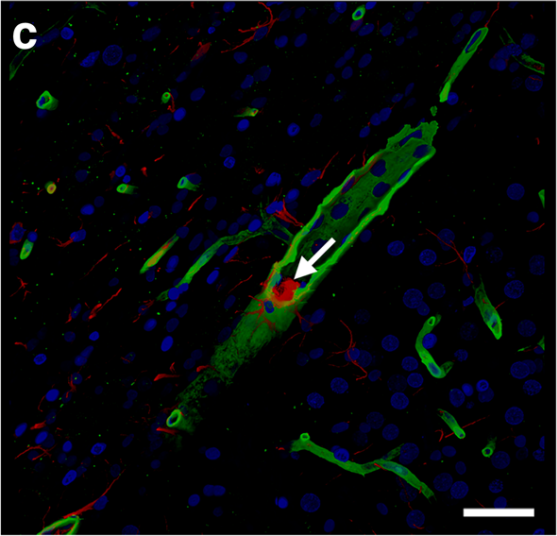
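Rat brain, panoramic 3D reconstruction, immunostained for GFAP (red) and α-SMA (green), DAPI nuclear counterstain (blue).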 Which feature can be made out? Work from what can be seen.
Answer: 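A large parenchymal vessel. A broad green-walled tube runs diagonally across the field. Many smaller green vessel profiles are scattered around it. Blue nuclei of brain tissue fill the surrounding area.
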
